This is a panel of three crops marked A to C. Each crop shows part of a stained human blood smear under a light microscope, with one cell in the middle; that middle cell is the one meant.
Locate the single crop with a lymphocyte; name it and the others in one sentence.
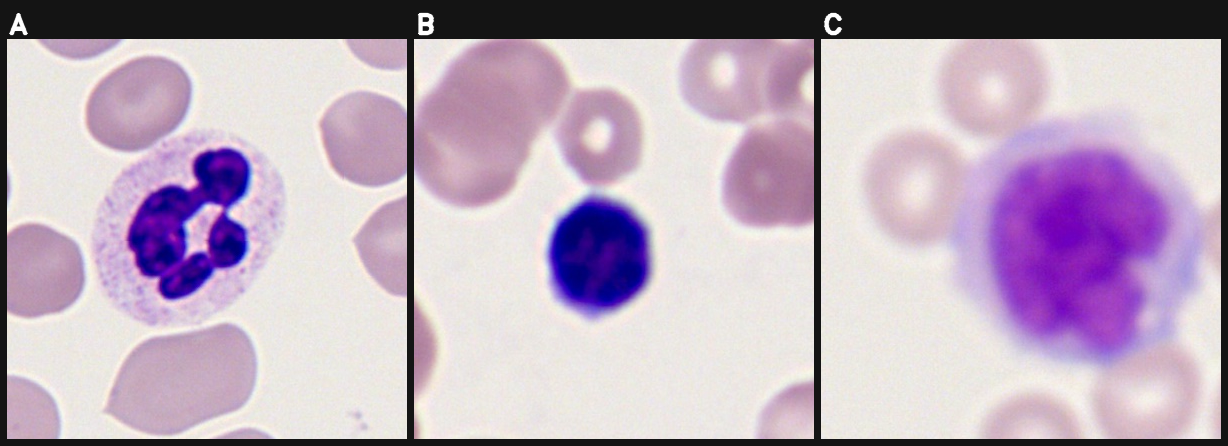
In the set, crop B shows a lymphocyte, whereas crop A is a segmented neutrophil and crop C is a monocyte.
